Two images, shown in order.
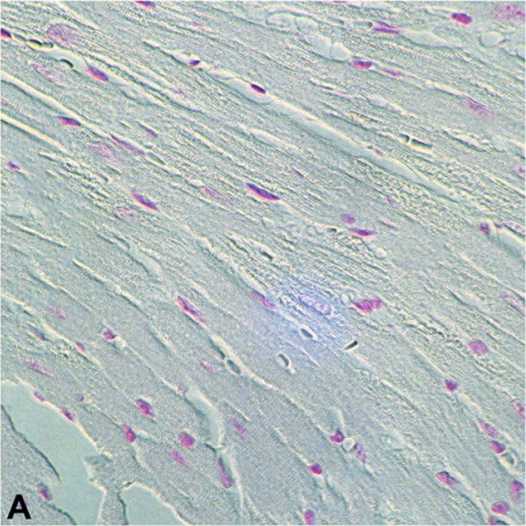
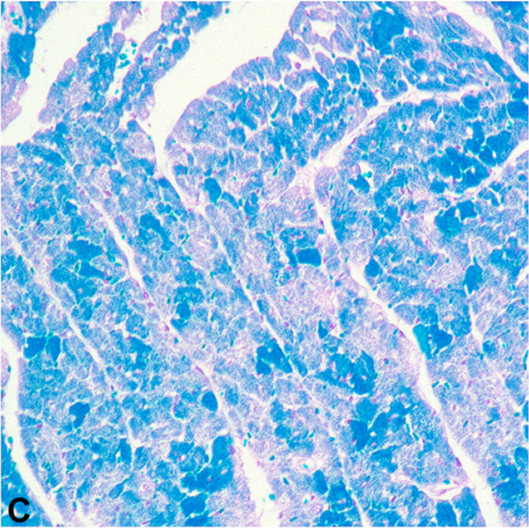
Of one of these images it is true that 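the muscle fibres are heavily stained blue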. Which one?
the second image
